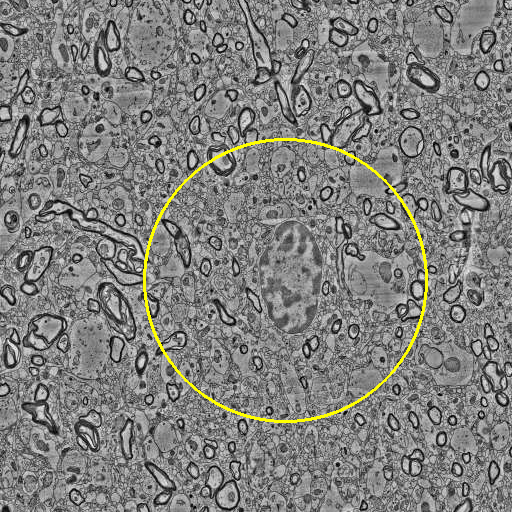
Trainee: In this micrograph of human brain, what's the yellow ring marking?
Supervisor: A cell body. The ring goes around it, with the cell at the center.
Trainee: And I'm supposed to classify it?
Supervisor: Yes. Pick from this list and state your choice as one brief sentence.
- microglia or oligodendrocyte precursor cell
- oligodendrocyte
The cell at the ring's center is a microglial cell or oligodendrocyte precursor cell.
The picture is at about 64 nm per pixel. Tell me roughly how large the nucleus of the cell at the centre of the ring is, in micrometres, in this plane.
The nucleus measures about 7 by 4 micrometres in this plane.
